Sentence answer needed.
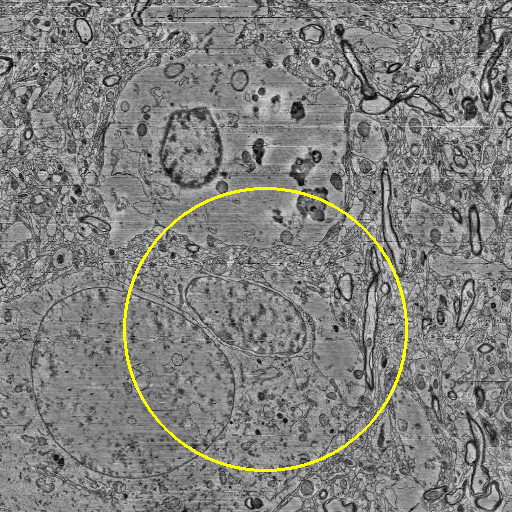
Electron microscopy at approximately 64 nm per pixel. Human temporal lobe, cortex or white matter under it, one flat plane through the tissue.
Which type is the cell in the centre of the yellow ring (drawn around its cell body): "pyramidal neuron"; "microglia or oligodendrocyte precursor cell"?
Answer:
In the centre of the yellow ring is a microglial cell or oligodendrocyte precursor cell.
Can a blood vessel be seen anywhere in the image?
Yes, one is visible.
